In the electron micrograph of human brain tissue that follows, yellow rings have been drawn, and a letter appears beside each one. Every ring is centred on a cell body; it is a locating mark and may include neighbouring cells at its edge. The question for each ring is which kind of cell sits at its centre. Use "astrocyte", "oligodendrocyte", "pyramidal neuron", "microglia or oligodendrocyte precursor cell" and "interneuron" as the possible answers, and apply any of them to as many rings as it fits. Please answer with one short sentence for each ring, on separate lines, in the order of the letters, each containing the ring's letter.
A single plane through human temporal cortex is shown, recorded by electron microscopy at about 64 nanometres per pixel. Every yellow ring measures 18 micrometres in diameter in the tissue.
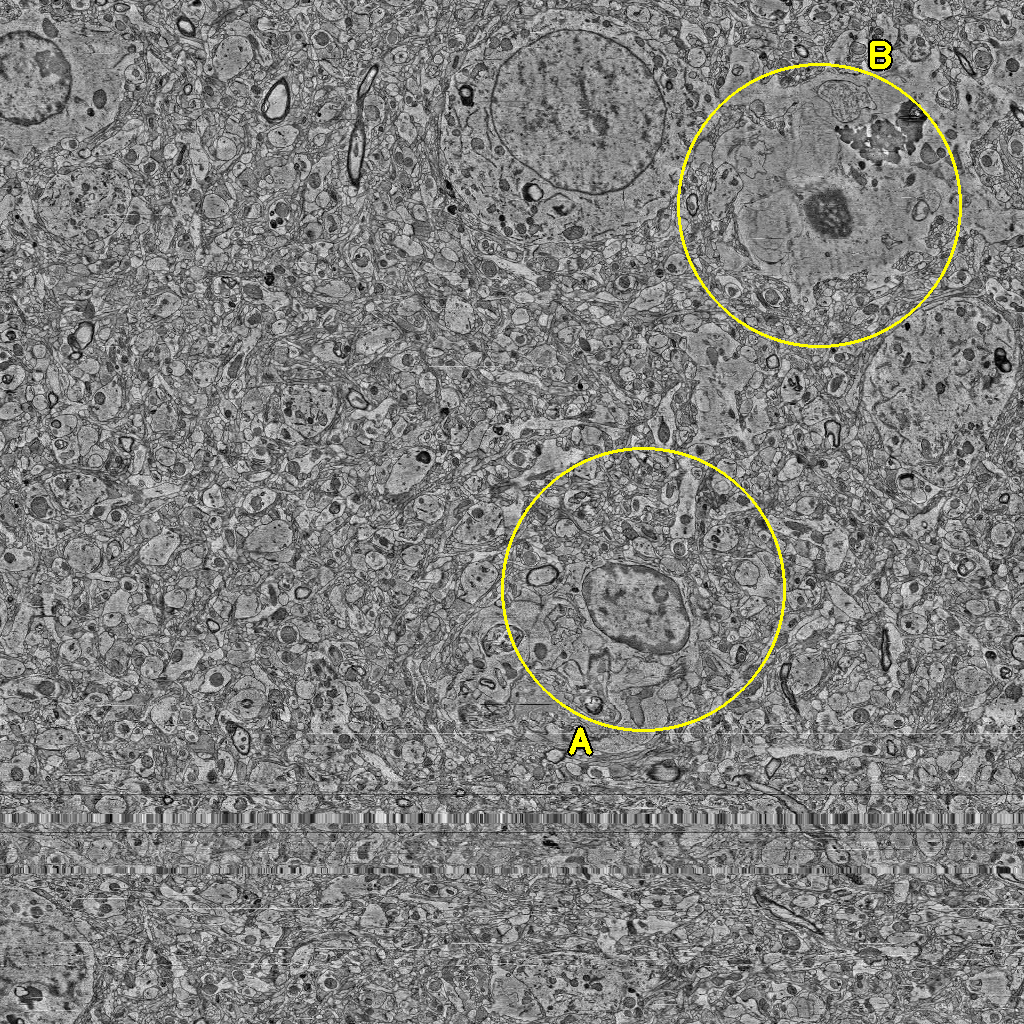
Sitting at the centre of ring A is a microglial cell or oligodendrocyte precursor cell.
Sitting at the centre of ring B is an astrocyte.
